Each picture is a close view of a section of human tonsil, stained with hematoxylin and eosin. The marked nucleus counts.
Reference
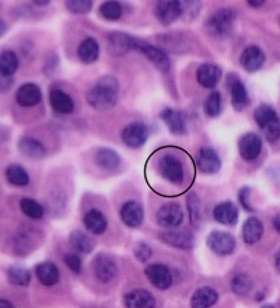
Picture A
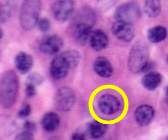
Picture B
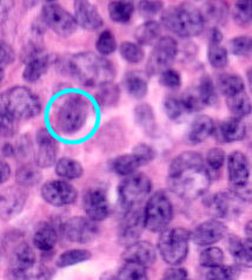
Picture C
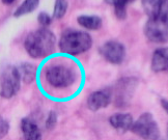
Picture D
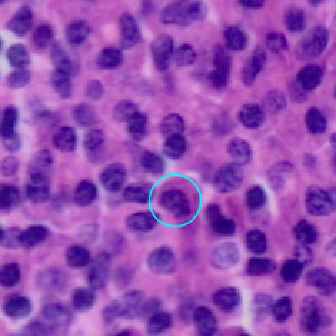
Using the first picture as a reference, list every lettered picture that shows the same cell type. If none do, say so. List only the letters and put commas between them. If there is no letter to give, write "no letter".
A, D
